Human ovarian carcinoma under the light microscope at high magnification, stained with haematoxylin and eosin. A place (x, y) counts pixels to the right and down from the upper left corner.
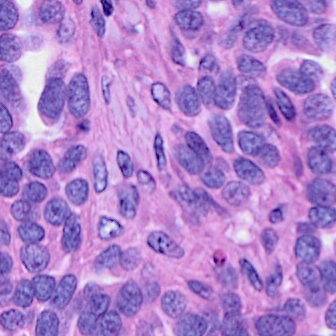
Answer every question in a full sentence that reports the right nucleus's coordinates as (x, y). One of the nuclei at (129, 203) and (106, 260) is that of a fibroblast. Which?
Here the nucleus at (129, 203) is the one that belongs to a fibroblast.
